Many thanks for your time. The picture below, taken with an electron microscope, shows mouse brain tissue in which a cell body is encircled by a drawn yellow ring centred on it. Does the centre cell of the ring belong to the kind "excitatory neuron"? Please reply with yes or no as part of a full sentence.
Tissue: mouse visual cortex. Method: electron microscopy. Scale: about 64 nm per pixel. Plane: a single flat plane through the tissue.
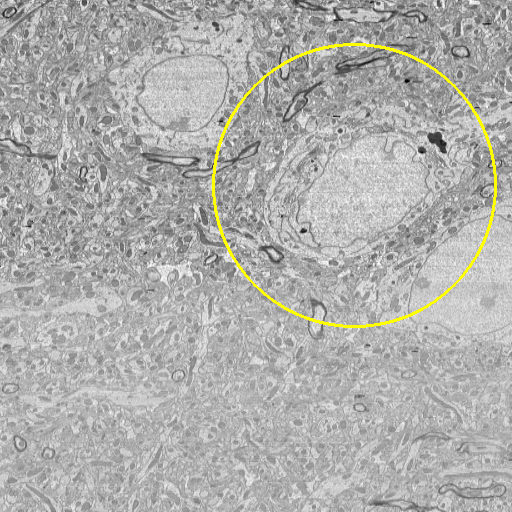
No, in the picture the cell at the ring's centre is of some different kind.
